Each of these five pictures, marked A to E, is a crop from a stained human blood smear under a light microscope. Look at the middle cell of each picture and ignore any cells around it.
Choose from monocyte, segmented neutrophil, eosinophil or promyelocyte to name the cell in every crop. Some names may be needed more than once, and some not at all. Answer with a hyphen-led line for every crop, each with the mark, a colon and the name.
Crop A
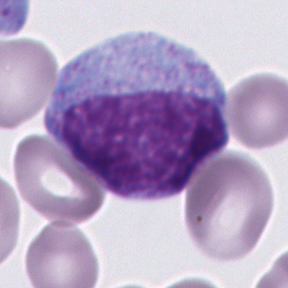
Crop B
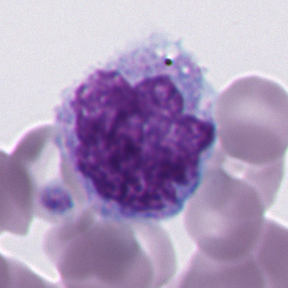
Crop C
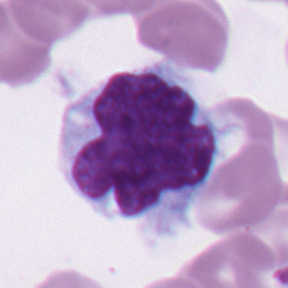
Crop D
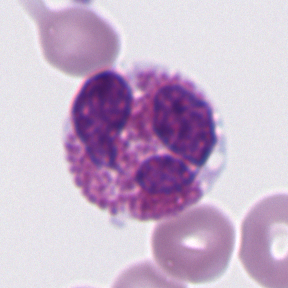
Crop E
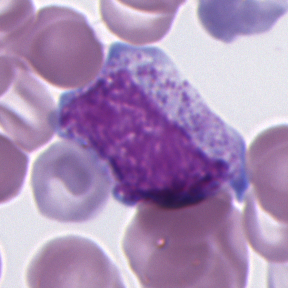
- A: promyelocyte
- B: monocyte
- C: monocyte
- D: eosinophil
- E: promyelocyte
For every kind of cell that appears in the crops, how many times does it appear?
promyelocyte: 2
monocyte: 2
eosinophil: 1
